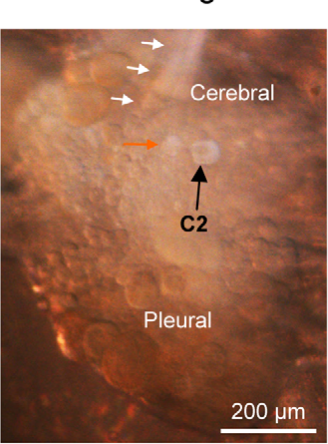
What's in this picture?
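One cell body near the middle, marked by the black arrow, is distinctly pale white, and a second pale cell lies just beside it. Near the top a pale band leaves the ganglion where a nerve originates.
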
